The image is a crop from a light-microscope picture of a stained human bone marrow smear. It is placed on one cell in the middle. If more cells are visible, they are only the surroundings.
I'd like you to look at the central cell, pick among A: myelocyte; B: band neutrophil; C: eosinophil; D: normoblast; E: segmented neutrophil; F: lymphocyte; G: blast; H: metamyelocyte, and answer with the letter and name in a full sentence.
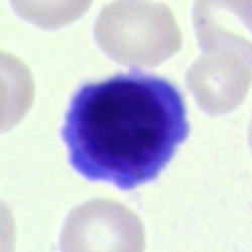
Option D holds, for the cell in the middle is a normoblast.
